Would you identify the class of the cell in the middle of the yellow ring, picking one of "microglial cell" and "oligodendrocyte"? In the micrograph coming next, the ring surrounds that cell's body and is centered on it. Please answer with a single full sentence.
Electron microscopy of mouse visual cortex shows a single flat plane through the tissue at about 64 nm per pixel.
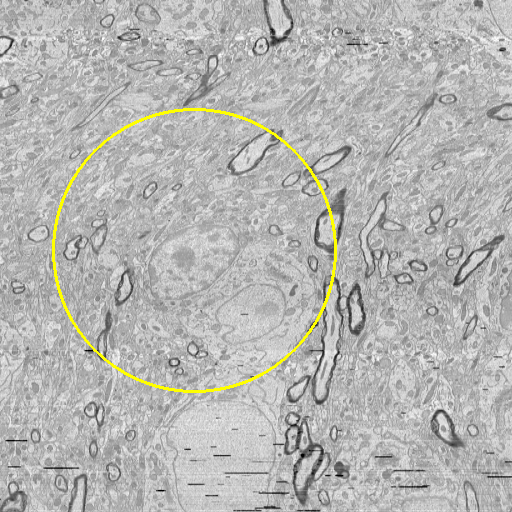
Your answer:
In the micrograph, it is an oligodendrocyte whose body lies at the ring's center.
